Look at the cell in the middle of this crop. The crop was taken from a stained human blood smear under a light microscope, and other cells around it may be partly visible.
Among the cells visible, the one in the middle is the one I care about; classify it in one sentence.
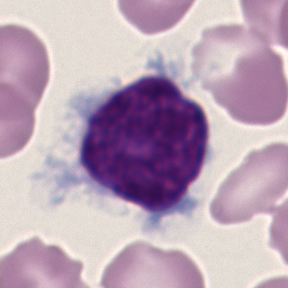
Here the centrally located cell is a hairy cell.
